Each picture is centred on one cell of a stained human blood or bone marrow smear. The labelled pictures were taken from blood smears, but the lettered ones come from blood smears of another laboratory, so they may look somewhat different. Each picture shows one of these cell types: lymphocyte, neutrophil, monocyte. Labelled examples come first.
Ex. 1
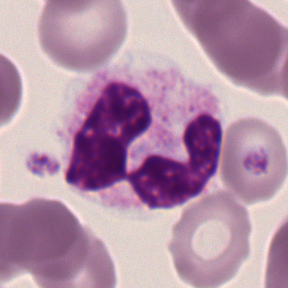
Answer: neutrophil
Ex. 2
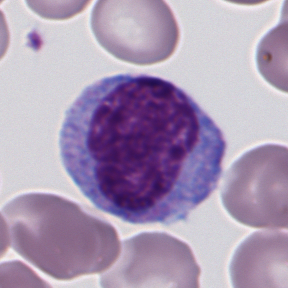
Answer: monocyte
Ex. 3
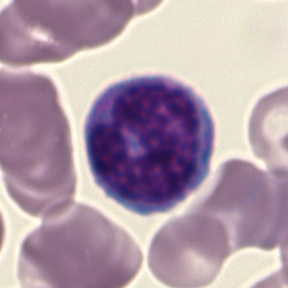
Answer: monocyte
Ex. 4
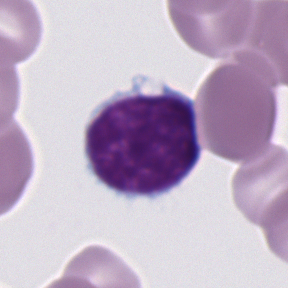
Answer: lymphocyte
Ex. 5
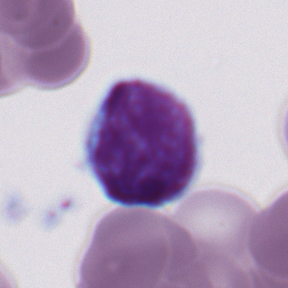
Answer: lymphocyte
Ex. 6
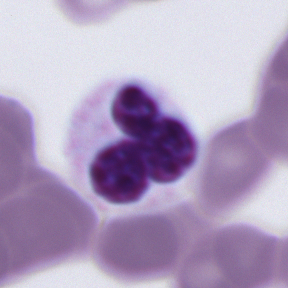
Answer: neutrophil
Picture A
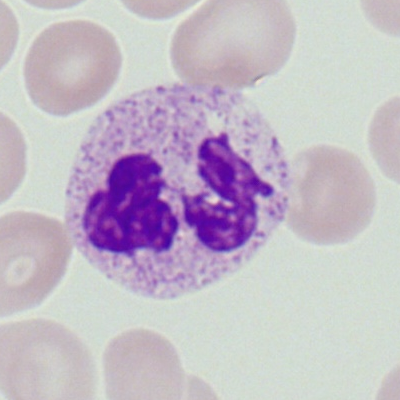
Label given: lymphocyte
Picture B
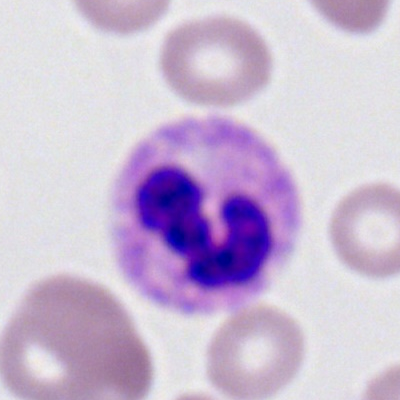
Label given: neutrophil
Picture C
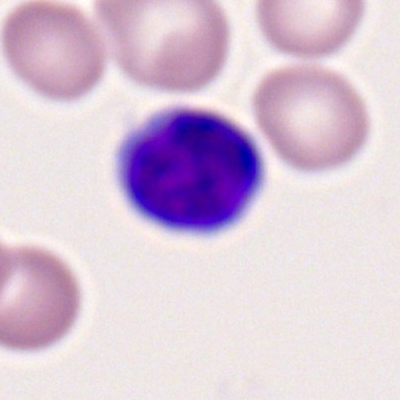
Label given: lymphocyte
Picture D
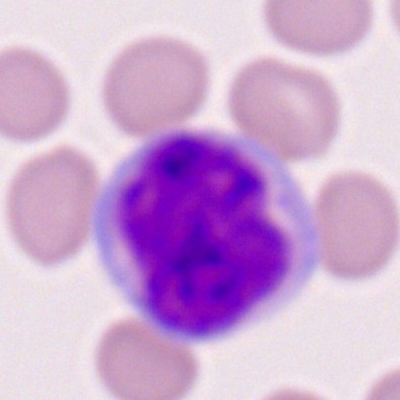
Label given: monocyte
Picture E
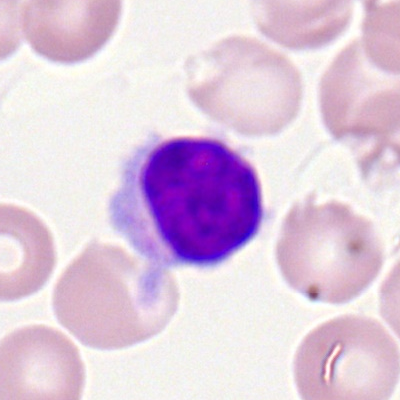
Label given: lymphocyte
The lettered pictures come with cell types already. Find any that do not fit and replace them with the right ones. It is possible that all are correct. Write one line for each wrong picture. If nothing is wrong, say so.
A: neutrophil, not lymphocyte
